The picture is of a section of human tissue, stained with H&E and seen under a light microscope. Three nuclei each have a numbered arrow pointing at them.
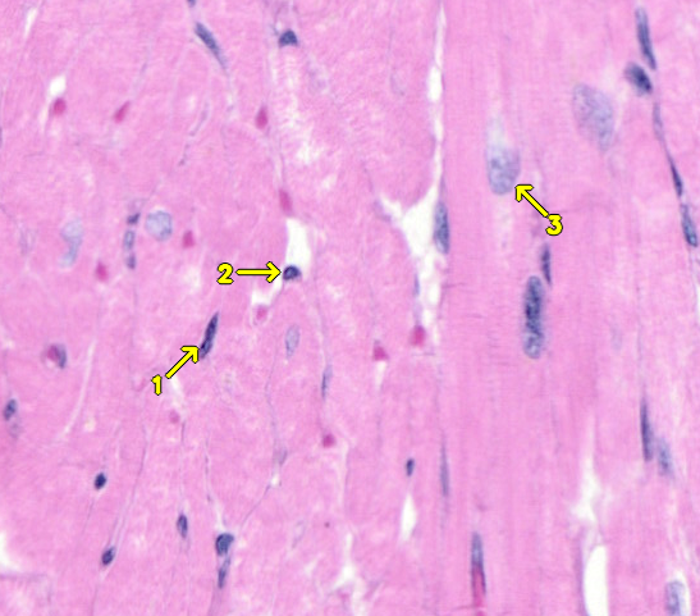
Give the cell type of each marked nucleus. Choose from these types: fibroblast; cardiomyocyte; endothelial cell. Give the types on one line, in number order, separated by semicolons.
endothelial cell; endothelial cell; cardiomyocyte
